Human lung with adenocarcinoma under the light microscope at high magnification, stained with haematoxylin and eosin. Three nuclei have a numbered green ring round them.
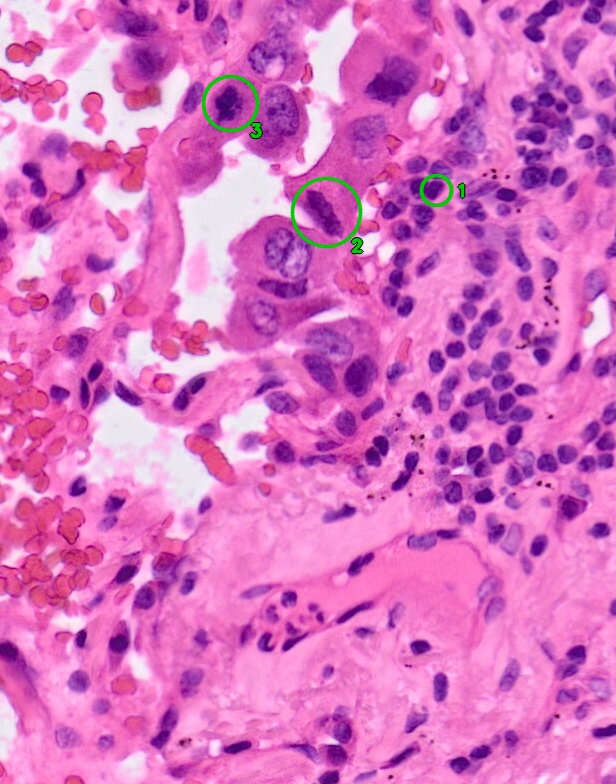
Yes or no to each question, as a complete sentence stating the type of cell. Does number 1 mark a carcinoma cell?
No, cell 1 is classified as a lymphocyte rather than a carcinoma cell.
